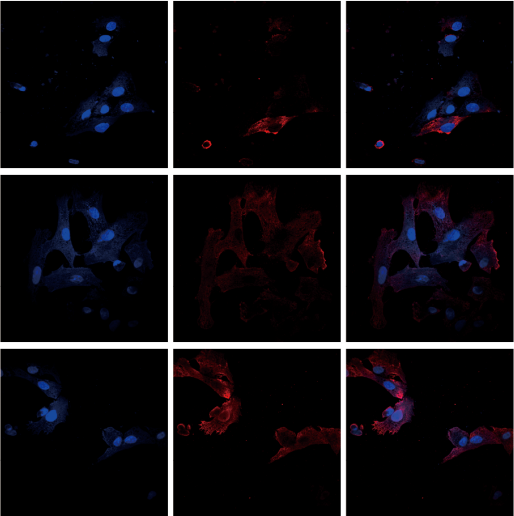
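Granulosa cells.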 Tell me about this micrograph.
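The cells are flat and spread, with irregular outlines, and some have extended cytoplasmic projections. Red fluorescence fills the cytoplasm around the nuclei, and in some cells it is strongest along the cell edges. The intensity of the red signal varies from cell to cell and from row to row.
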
